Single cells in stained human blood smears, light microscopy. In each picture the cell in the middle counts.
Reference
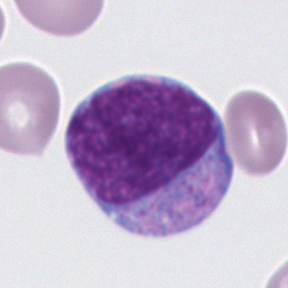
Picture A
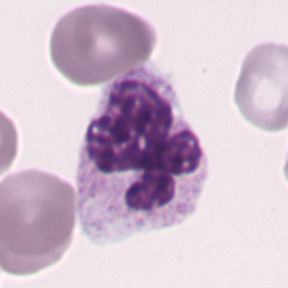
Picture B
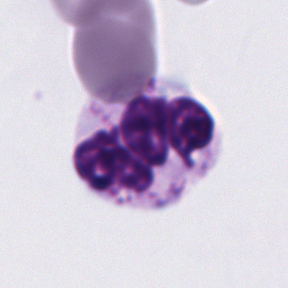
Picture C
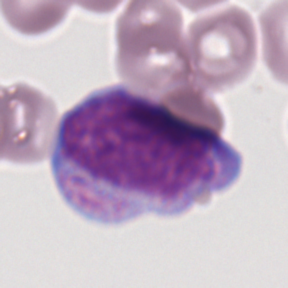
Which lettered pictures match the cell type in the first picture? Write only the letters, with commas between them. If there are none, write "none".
C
